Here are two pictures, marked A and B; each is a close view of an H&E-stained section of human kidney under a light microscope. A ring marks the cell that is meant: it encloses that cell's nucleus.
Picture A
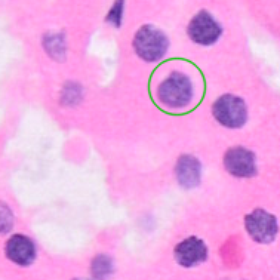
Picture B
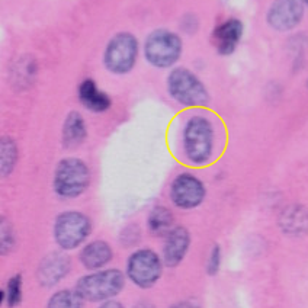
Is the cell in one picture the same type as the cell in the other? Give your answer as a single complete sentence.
No, picture A shows a “loop of Henle or distal tubule cell” and picture B shows a collecting duct cell.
